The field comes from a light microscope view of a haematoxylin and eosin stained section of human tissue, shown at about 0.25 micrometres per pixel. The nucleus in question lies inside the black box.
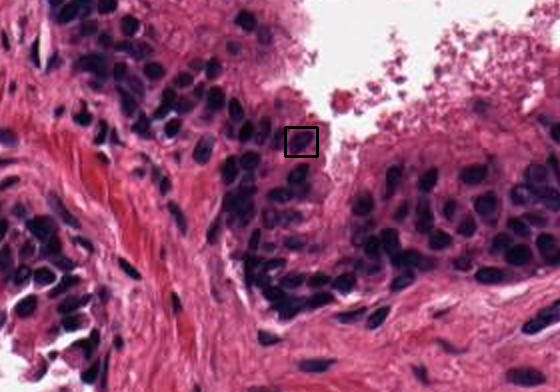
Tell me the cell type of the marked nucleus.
prostate gland luminal cell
